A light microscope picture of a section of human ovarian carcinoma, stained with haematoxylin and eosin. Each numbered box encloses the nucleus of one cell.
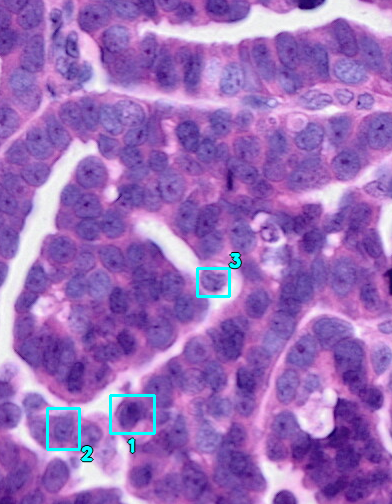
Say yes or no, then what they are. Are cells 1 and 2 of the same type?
Yes, within the numbered set, cells 1 and 2 are both carcinoma cells.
